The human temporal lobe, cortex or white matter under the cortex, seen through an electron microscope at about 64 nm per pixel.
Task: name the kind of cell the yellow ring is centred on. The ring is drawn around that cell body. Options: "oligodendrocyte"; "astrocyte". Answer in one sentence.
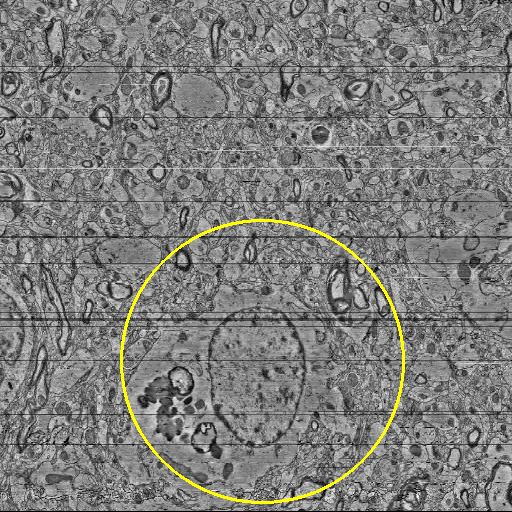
This cell body belongs to an astrocyte.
